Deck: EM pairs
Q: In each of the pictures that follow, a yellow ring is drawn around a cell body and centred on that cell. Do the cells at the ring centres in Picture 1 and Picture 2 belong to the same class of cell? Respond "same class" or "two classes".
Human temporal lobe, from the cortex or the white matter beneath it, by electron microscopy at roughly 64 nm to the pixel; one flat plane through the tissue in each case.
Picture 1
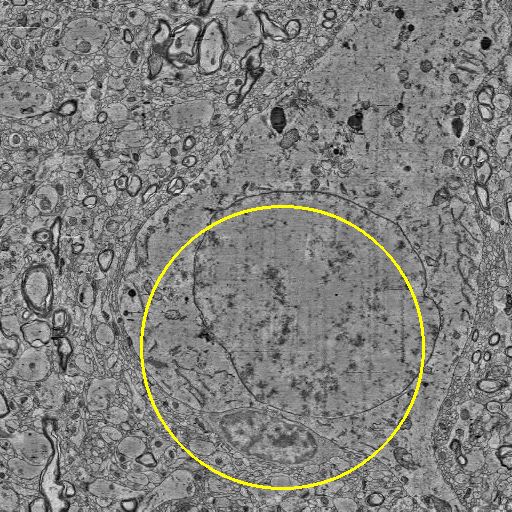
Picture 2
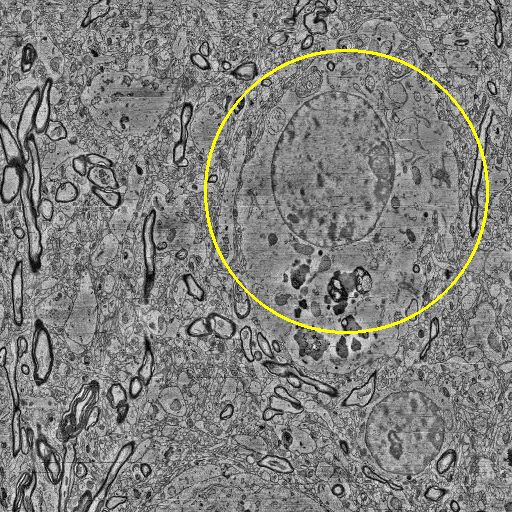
two classes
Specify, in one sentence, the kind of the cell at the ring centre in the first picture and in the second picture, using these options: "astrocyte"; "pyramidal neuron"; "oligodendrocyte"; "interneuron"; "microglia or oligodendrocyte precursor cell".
So the first is a pyramidal neuron, the second an astrocyte.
